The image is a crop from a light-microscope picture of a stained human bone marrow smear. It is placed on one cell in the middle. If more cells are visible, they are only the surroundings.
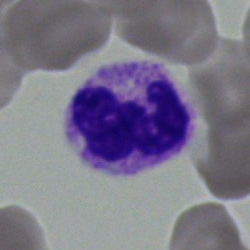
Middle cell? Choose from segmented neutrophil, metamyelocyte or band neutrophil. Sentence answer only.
Classified as a segmented neutrophil is the cell in the middle of this crop.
